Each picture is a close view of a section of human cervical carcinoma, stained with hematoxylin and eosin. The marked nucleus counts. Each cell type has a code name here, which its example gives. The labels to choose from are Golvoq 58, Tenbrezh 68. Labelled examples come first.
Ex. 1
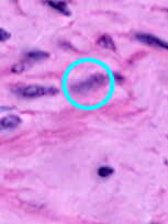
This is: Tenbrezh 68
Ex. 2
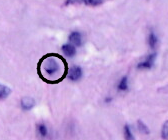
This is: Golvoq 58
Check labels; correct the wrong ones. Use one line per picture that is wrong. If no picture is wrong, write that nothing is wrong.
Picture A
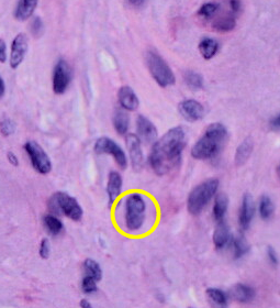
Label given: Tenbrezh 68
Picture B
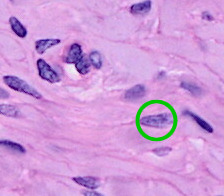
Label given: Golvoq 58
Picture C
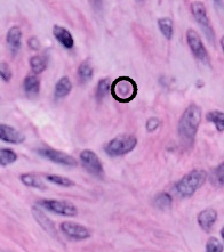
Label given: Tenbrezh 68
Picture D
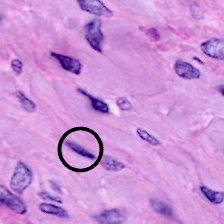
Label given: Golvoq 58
A: Golvoq 58, not Tenbrezh 68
